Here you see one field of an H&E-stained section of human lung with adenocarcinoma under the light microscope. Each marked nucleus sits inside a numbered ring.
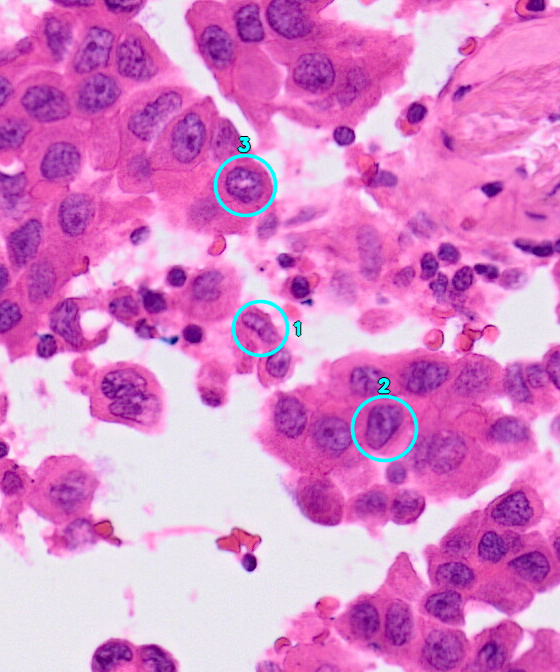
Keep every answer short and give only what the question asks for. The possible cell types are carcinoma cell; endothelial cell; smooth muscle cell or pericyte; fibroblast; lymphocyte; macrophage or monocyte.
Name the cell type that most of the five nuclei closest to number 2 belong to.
carcinoma cell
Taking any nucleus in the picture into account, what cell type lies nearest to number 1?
macrophage or monocyte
